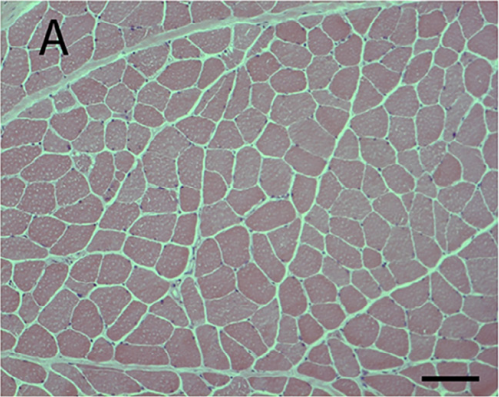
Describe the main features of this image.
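This is a transverse section of skeletal muscle in which the muscle fibres are cut across as closely packed polygonal profiles. The fibres are of broadly similar size and stain a pinkish-mauve, with a fine pale speckling in their cytoplasm. Their small dark nuclei lie at the periphery of the fibres, just beneath the fibre surface. Thin pale connective tissue lines surround each fibre, and broader septa cross the field, dividing the fibres into fascicles. No inflammatory infiltrate or replacement by fat is seen in this field.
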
